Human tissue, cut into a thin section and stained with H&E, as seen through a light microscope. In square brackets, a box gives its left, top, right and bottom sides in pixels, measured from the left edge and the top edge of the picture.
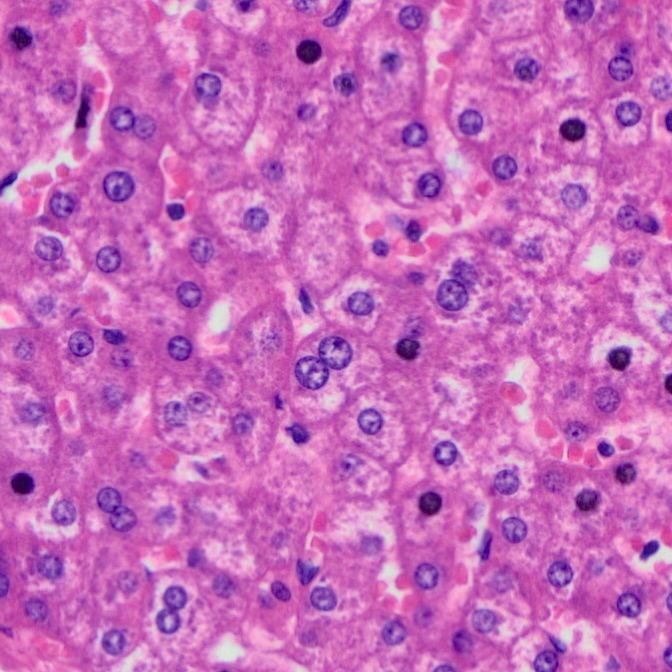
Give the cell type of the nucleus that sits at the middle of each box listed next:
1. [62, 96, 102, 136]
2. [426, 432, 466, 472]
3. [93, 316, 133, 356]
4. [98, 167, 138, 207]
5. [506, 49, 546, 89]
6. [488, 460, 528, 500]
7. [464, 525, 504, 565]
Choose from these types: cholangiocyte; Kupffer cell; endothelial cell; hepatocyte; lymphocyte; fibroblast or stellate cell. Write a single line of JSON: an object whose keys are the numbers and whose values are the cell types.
{"1": "Kupffer cell", "2": "hepatocyte", "3": "fibroblast or stellate cell", "4": "hepatocyte", "5": "hepatocyte", "6": "hepatocyte", "7": "endothelial cell"}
